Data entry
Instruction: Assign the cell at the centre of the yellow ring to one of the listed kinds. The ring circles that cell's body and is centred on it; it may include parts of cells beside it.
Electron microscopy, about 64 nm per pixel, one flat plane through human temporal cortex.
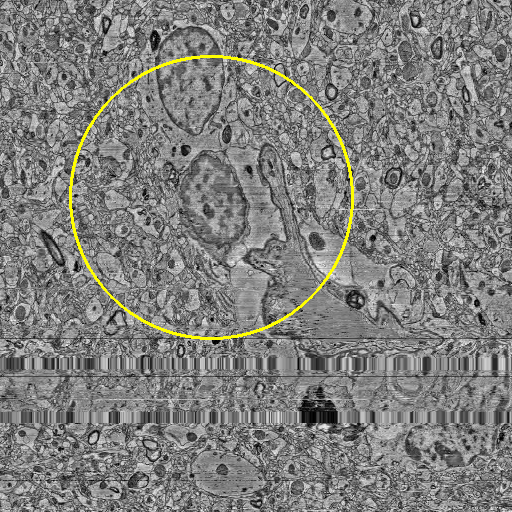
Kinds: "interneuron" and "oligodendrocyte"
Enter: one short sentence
The centre of the ring falls on an oligodendrocyte.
